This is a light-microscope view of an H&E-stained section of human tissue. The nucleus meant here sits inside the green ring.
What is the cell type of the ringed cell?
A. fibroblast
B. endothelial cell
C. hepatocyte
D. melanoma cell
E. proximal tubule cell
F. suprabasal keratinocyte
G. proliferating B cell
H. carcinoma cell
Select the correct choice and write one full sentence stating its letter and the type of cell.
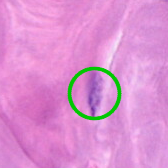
The statement that the ringed cell is a fibroblast corresponds to option A, the correct one.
